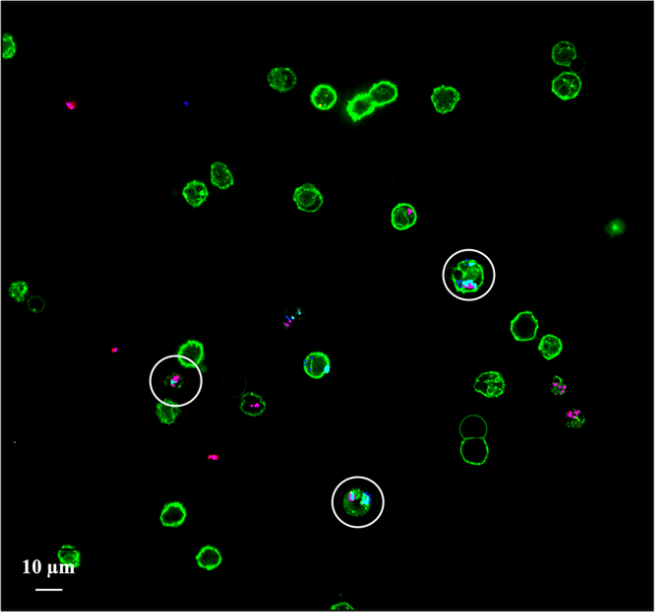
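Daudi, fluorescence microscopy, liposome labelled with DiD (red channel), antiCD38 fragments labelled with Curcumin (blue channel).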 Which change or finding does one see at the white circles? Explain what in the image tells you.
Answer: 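Internalization. Magenta and cyan puncta lie within the green outline of the circled cells. Other magenta puncta lie free, away from any cell.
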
